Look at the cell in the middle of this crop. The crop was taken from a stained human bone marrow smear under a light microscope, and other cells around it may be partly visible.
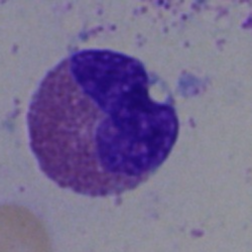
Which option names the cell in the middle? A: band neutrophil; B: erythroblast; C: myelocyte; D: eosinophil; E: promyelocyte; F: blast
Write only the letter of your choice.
D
